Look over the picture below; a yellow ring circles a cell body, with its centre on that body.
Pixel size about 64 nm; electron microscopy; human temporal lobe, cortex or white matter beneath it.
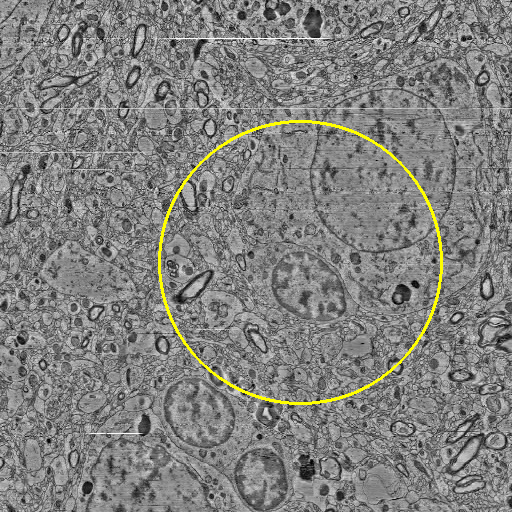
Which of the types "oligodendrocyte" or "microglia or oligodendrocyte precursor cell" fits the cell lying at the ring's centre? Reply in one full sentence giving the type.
The picture shows an oligodendrocyte at the centre of the yellow ring.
